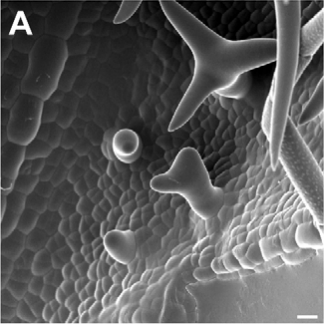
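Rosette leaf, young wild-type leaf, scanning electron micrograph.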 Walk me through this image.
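Large branched, spiky trichomes stand up at the top, while smaller stalked outgrowths with two short prongs and a round bud sit lower on the epidermis. The surrounding epidermal cells are small and polygonal, tightly packed across the surface.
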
